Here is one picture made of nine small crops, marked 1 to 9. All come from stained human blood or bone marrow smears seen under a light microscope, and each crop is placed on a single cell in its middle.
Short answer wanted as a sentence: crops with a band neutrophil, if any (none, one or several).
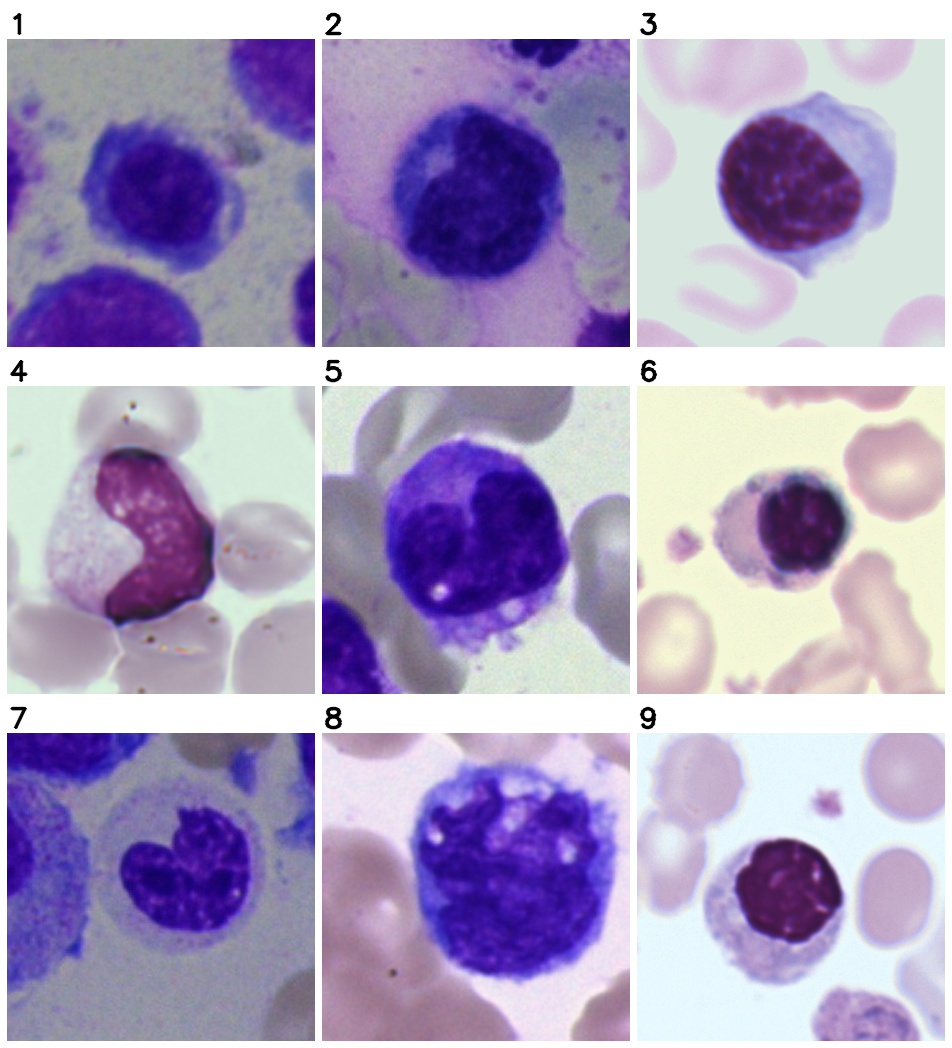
Crops 4 and 7 are the crops in which band neutrophils are shown.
